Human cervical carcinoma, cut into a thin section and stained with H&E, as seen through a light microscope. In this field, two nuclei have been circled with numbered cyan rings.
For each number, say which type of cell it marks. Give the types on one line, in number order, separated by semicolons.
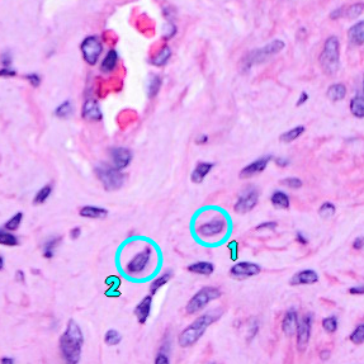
smooth muscle cell; fibroblast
